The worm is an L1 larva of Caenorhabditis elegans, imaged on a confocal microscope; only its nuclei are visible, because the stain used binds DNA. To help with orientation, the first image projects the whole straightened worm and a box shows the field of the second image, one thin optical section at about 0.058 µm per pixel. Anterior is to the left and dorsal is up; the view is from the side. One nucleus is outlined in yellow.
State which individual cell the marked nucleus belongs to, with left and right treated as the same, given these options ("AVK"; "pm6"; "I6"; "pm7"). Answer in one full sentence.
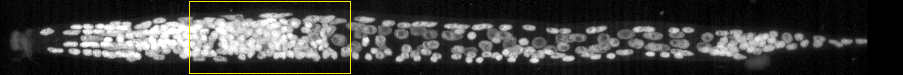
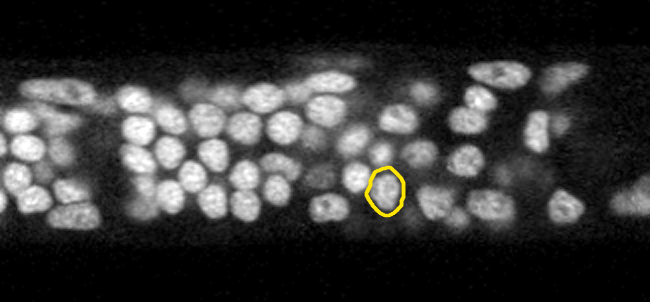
The marked nucleus is that of AVK, a neuron.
